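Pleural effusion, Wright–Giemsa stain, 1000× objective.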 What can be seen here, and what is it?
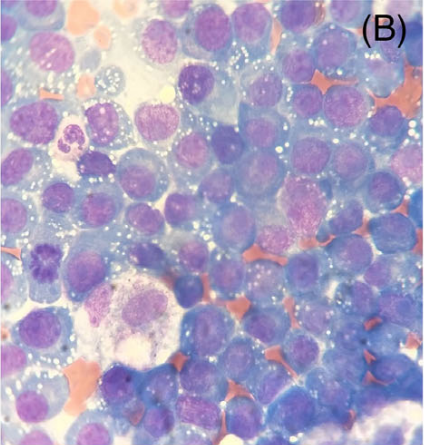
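Most cells have a round, somewhat eccentric purple nucleus and a rim of blue cytoplasm dotted with many small clear vacuoles. The cells vary in size, and some nuclei look paler and more open than others. Toward the left, one cell shows condensed chromosomes in place of a nucleus, as seen in a dividing cell. Near the upper left lies a smaller cell with a lobed nucleus and pink-tinged cytoplasm, unlike the surrounding cells.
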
